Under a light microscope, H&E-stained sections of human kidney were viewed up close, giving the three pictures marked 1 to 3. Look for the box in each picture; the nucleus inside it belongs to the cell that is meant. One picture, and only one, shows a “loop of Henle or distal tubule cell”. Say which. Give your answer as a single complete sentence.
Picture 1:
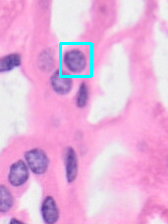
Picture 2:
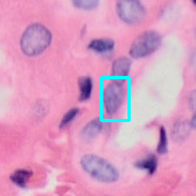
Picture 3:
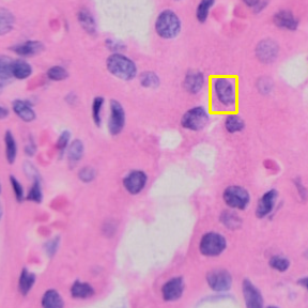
The “loop of Henle or distal tubule cell” is the one in picture 3.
